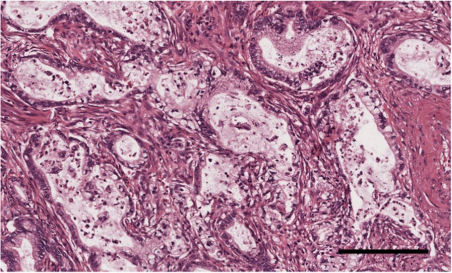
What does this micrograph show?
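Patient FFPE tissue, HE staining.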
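Tissue section with irregular gland-like structures set in a dense pink fibrous stroma. The glands vary in size and shape, some elongated and branching, and are lined by epithelial cells with purple nuclei. Several gland spaces are filled with pale, loose material containing scattered cells and fragments. The surrounding stroma is made of wavy pink fibres with many spindle-shaped nuclei, and appears densely packed between the glands.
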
